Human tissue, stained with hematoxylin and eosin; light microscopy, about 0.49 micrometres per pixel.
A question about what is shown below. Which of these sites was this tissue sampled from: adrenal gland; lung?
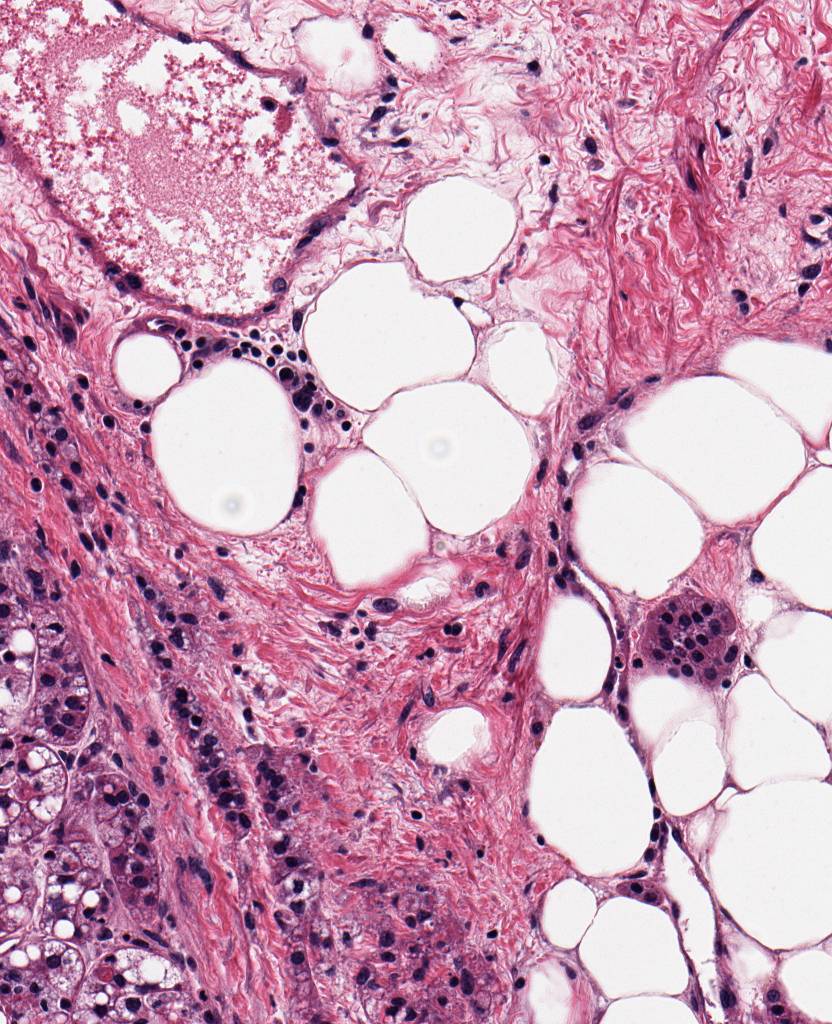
adrenal gland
